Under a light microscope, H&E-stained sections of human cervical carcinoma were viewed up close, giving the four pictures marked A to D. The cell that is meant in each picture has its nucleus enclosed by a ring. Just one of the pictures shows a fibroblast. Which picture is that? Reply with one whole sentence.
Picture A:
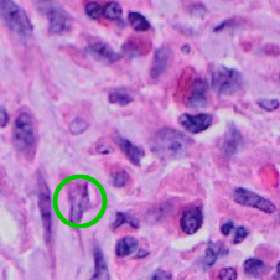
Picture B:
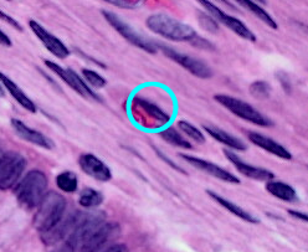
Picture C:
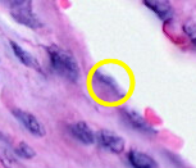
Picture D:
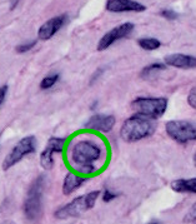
Picture A shows the fibroblast.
